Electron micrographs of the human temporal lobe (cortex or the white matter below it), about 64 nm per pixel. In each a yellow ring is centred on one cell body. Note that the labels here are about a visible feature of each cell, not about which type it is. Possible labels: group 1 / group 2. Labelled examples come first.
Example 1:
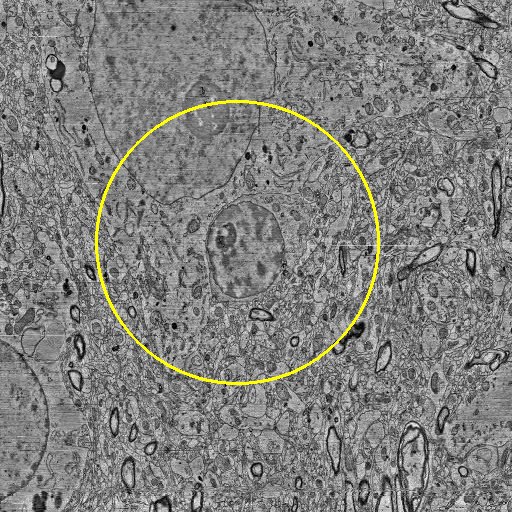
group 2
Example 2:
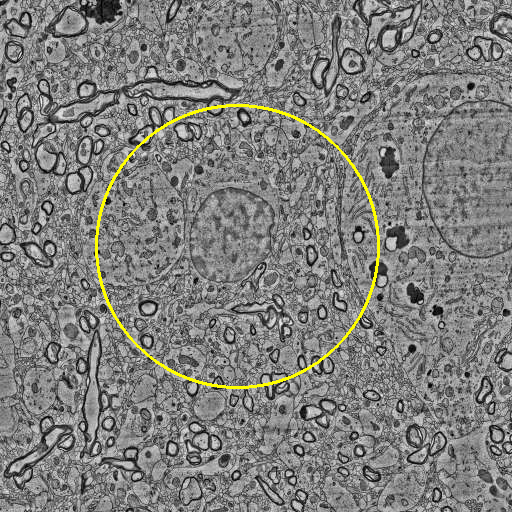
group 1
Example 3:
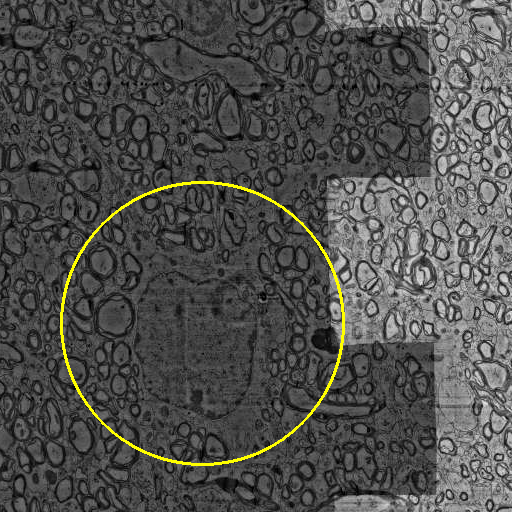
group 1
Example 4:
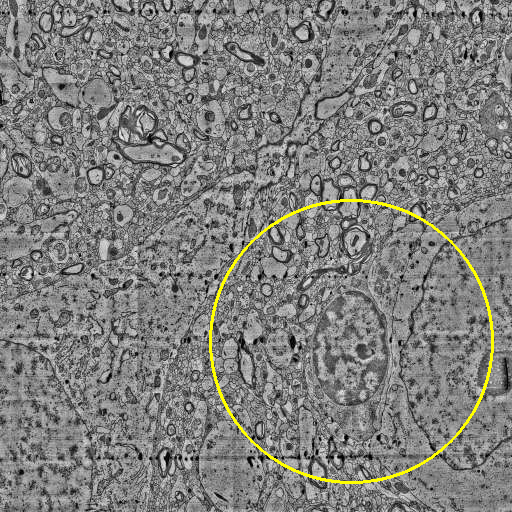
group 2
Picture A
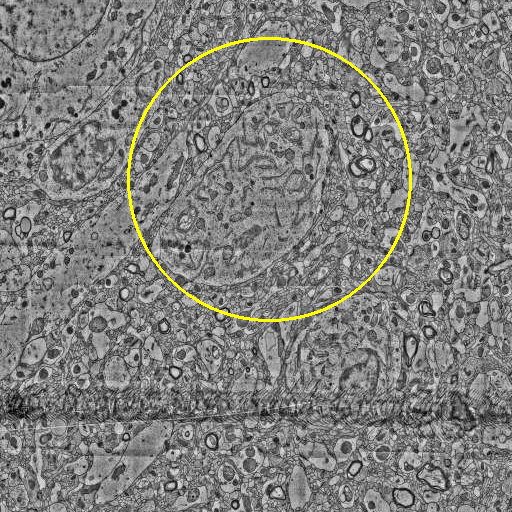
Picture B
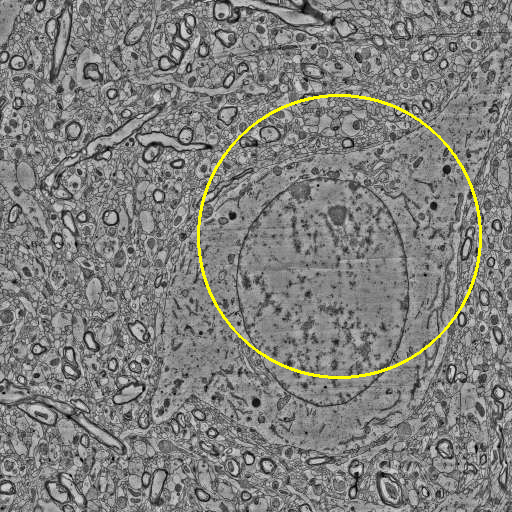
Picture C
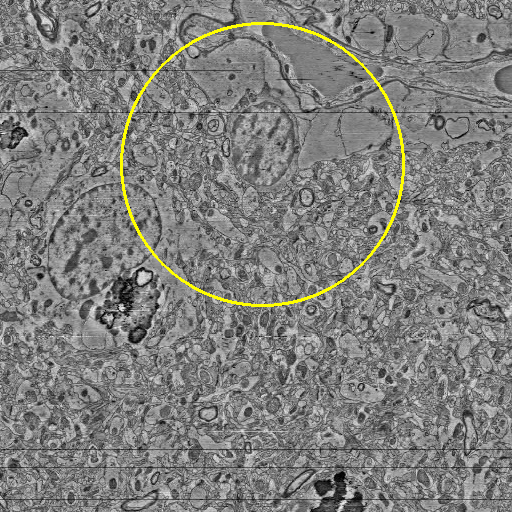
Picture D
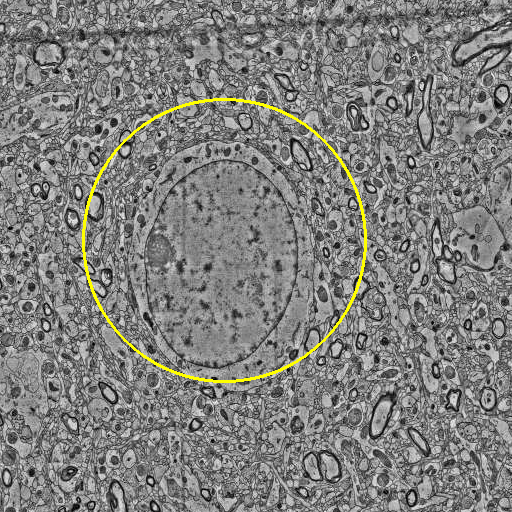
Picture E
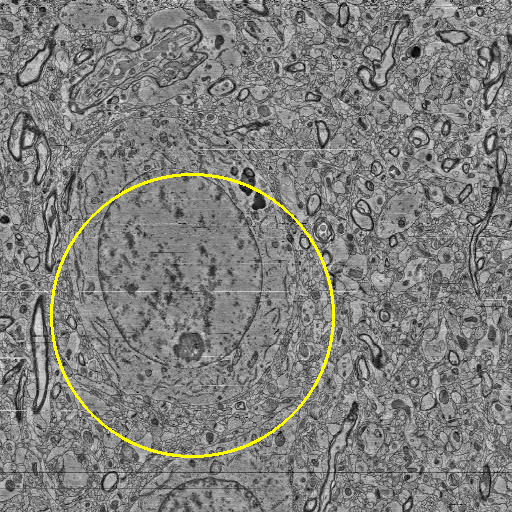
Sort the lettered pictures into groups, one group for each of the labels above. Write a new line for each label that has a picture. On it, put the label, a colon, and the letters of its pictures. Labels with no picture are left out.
group 1: A, C
group 2: B, D, E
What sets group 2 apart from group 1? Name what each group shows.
In group 2: nucleolus seen. In group 1: no nucleolus seen.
